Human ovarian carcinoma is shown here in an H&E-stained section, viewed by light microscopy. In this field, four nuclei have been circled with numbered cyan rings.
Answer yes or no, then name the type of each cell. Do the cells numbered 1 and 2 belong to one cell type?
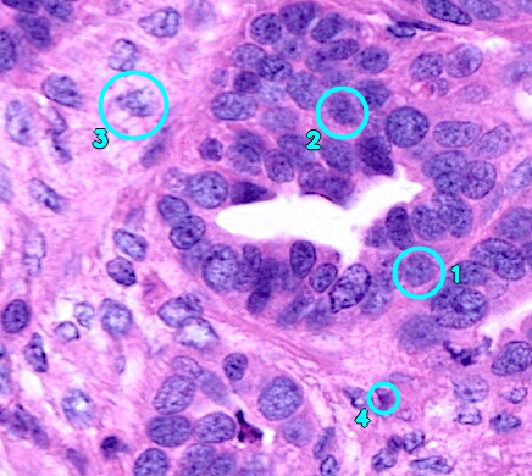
Yes: cells 1 and 2 are both carcinoma cells.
